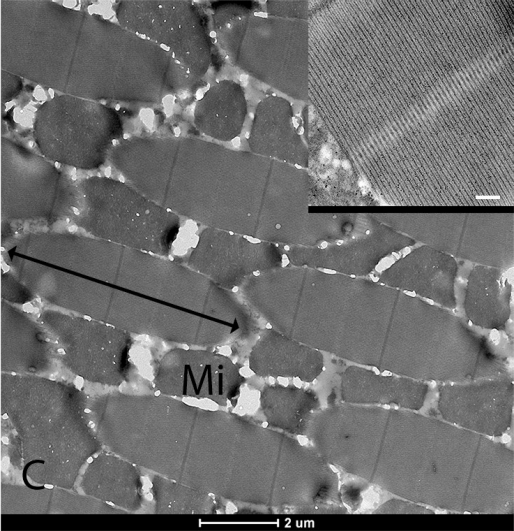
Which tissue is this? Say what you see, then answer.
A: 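Large, regularly striated myofibrils fill the field. Many large dense mitochondria lie packed between the myofibrils. The inset shows a tightly ordered lattice of filaments.
Indirect flight muscles.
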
